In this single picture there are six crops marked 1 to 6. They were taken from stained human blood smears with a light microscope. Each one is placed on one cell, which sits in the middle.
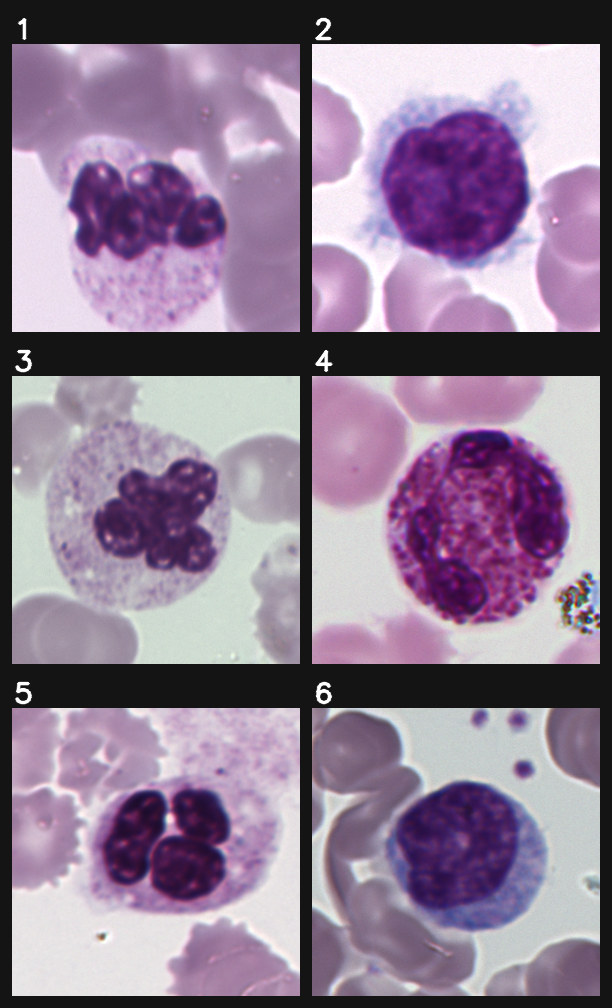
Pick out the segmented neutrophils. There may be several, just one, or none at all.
1, 3, 5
